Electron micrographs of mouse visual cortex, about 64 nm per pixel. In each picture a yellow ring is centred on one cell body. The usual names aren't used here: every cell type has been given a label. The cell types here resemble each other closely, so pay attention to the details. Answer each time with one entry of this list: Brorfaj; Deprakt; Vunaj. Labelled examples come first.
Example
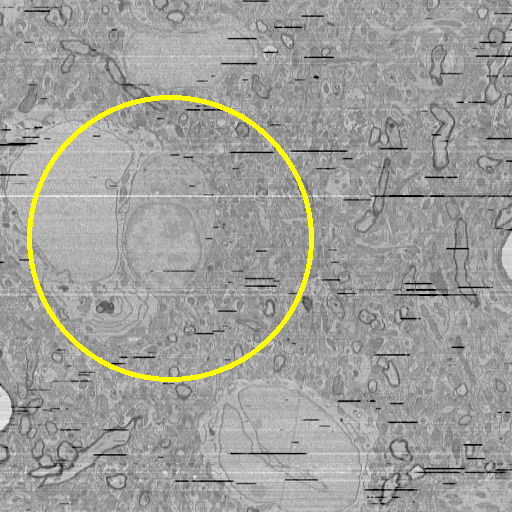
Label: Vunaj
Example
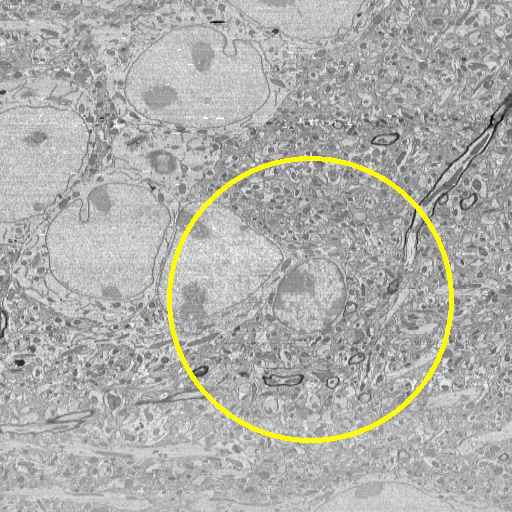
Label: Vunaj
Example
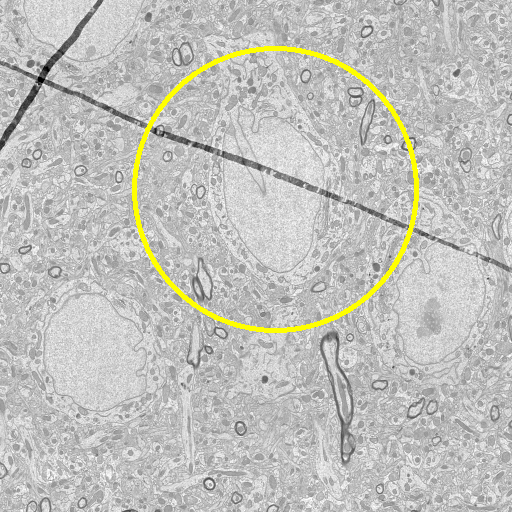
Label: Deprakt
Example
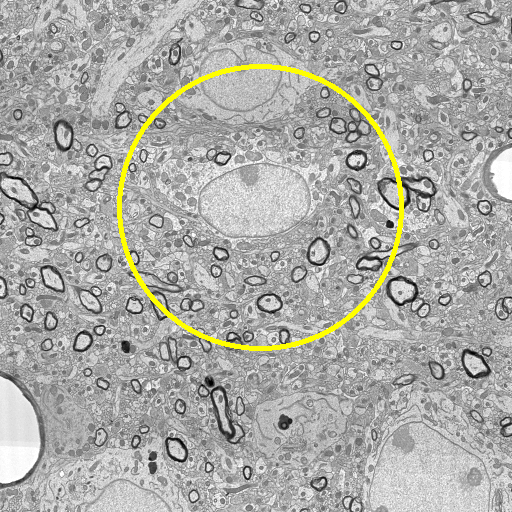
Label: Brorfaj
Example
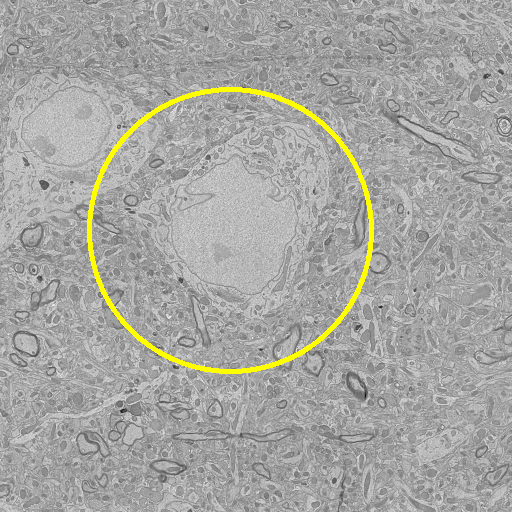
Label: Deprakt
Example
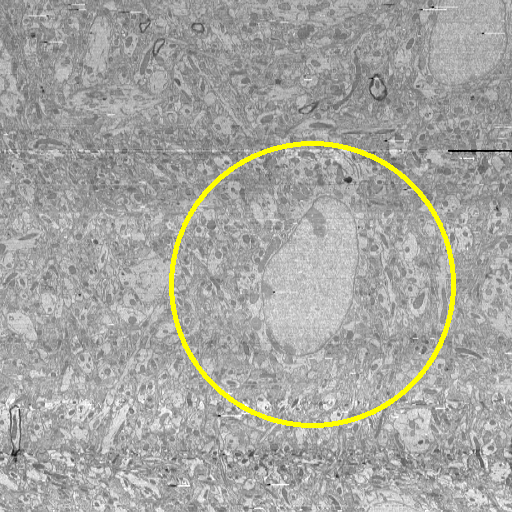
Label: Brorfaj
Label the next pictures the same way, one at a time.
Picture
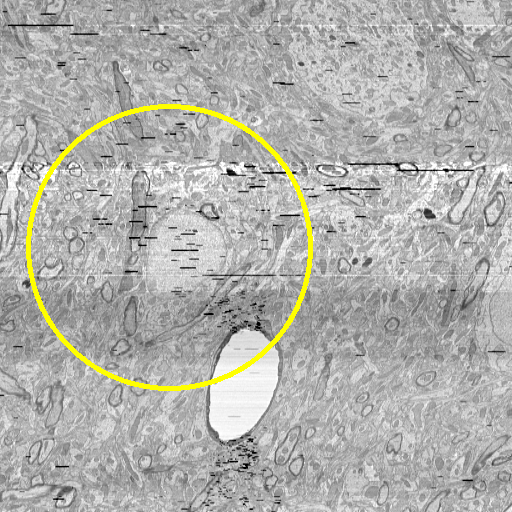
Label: Brorfaj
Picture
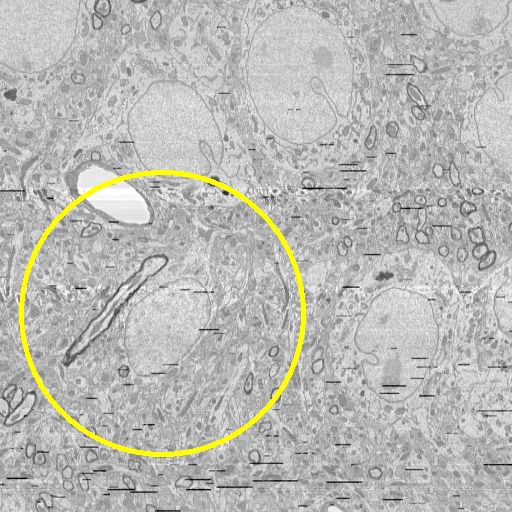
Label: Brorfaj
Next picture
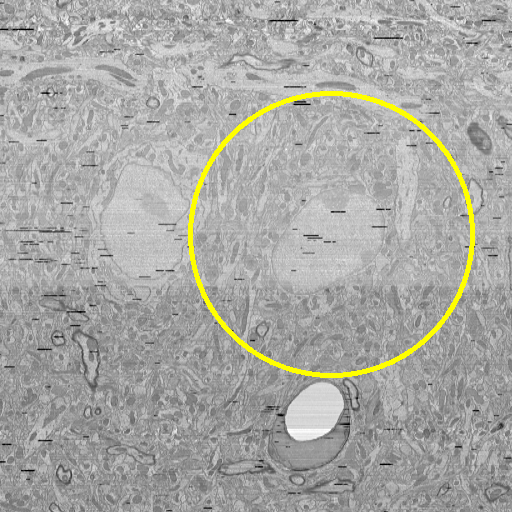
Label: Brorfaj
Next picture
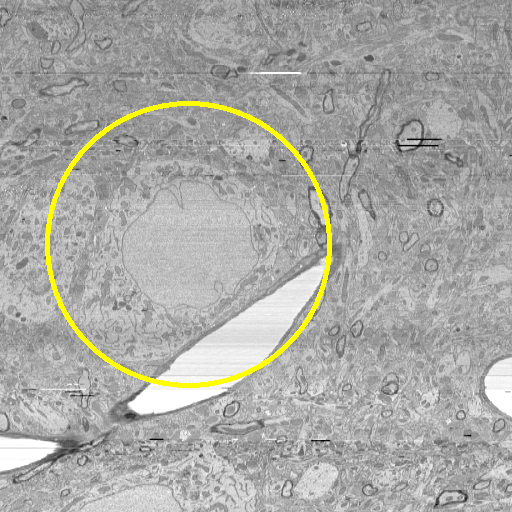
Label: Deprakt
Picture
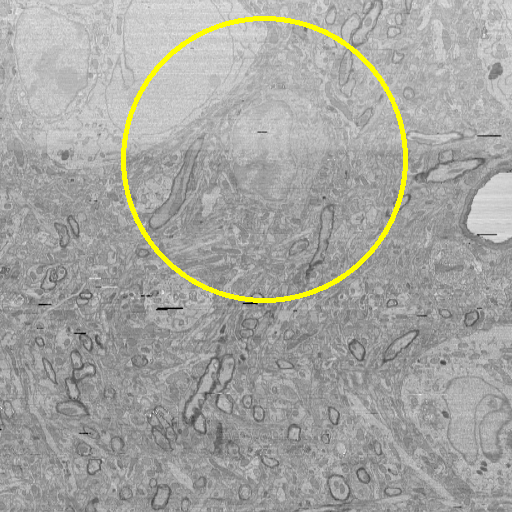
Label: Vunaj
